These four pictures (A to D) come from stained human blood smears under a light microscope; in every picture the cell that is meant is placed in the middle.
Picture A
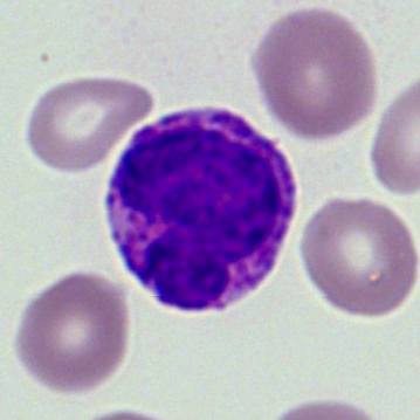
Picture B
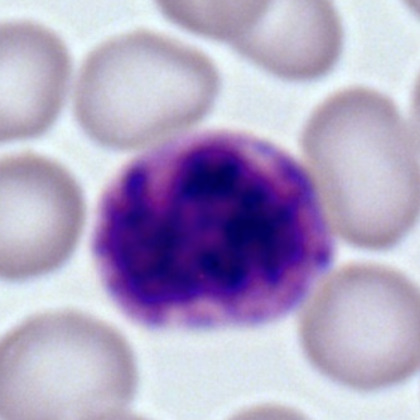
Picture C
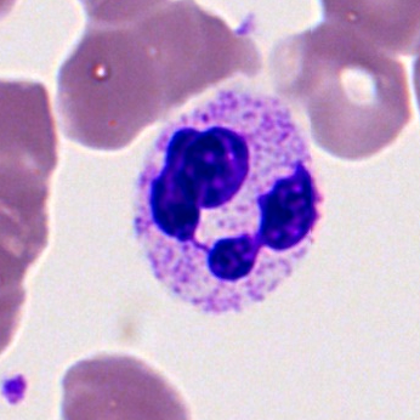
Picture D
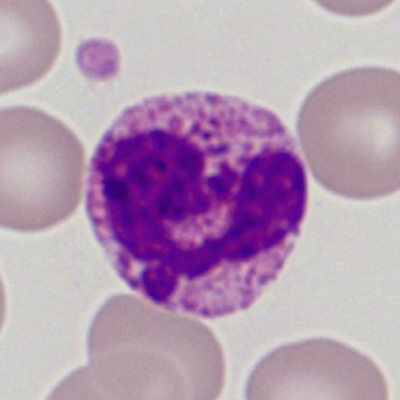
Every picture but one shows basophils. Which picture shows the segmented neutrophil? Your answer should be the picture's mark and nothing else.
C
